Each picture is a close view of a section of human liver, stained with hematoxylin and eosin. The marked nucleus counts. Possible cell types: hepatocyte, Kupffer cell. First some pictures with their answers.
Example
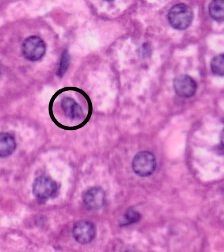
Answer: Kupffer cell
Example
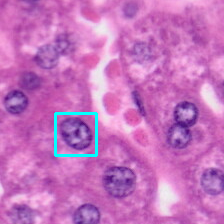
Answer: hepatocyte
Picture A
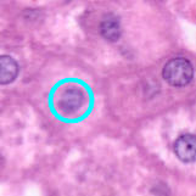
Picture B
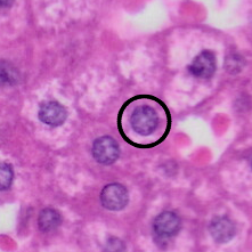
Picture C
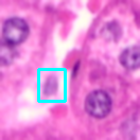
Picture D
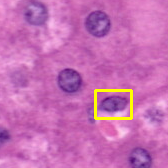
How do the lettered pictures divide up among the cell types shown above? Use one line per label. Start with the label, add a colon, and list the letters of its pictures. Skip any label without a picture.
hepatocyte: A, B
Kupffer cell: C, D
